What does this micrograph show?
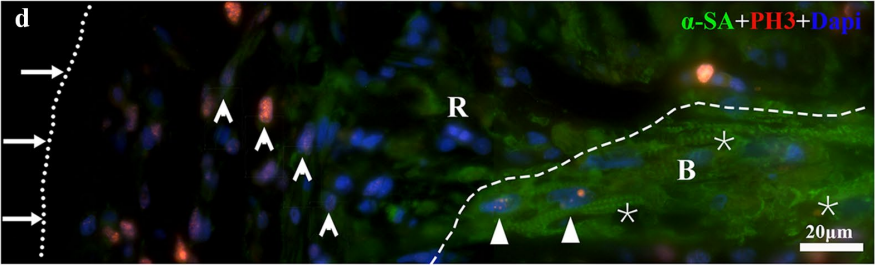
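Toward the right, green fibres are elongated and show regular cross-striations, typical of mature cardiac myocytes, with blue oval nuclei lying among them. Toward the left the green is weak and the tissue is looser, with scattered small cells whose nuclei appear blue or pinkish red. At the far left the tissue ends at a smooth outer surface beyond which the field is dark.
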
